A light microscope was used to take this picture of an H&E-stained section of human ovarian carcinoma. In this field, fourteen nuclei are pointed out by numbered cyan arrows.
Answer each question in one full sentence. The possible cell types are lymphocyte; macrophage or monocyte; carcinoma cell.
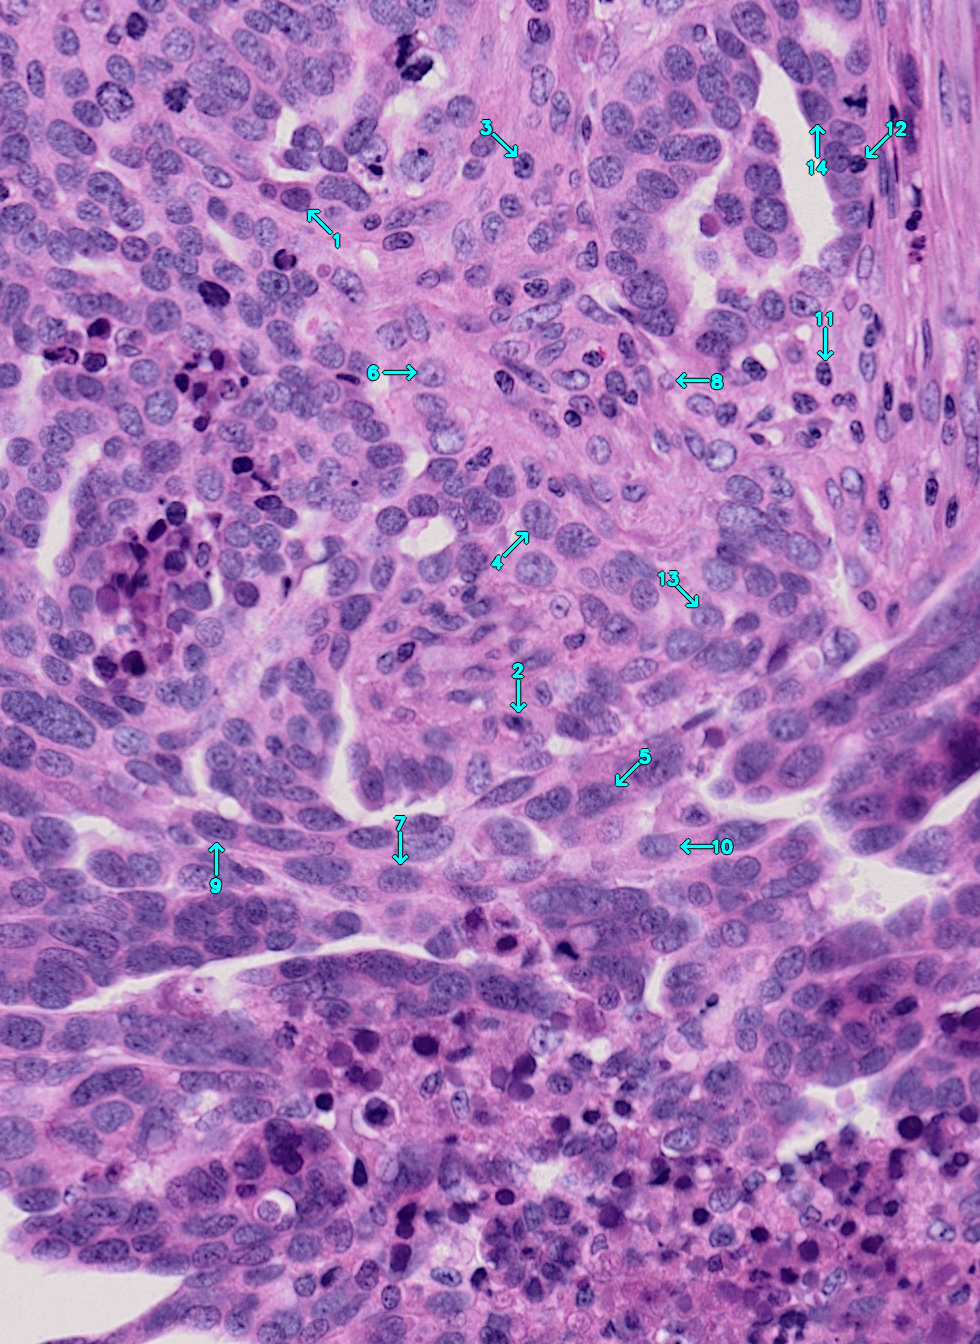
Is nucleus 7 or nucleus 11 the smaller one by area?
Nucleus 11 covers less area, with nucleus 7 about 3 times as large.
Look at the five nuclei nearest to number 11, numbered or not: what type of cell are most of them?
Macrophages or monocytes account for more than half of the five nuclei nearest to number 11.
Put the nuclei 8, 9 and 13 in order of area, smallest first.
From smallest to largest, the order is 8, 13, 9.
